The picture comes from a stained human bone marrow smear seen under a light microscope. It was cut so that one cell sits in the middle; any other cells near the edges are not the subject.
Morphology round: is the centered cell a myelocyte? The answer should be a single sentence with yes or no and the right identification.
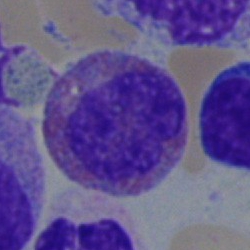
No, the cell placed in the centre is an eosinophil and is not a myelocyte.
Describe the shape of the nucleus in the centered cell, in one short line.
A single compact nucleus, round, oval or kidney-shaped, is what this cell shows.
